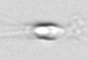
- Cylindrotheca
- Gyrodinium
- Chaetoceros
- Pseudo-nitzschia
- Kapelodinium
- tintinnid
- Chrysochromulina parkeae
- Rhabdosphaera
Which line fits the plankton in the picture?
Chrysochromulina parkeae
